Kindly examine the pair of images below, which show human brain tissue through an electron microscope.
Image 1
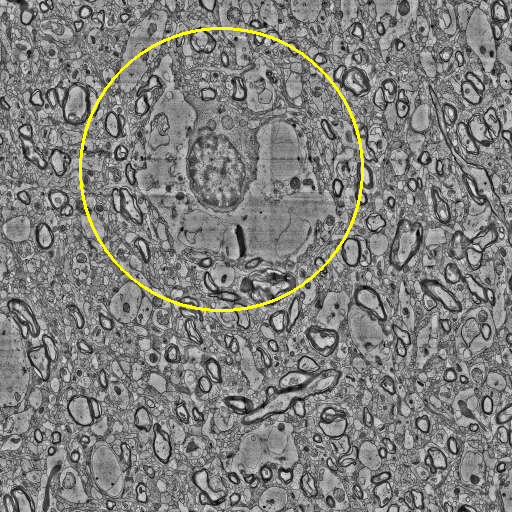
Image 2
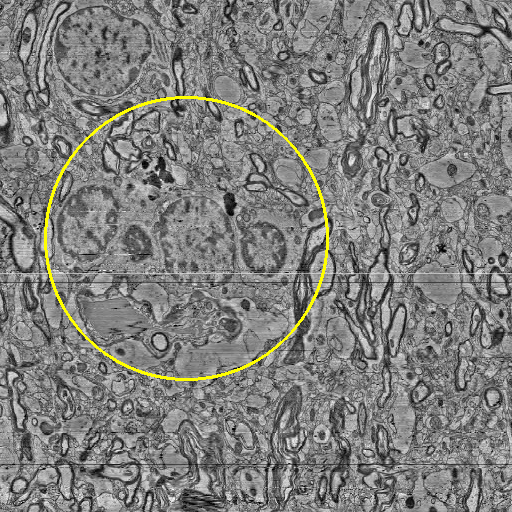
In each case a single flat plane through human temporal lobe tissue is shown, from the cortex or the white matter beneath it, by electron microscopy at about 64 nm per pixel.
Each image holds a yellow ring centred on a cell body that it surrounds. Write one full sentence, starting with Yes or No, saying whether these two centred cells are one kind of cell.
Yes, both cells at the centres of the yellow rings belong to one kind of cell.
